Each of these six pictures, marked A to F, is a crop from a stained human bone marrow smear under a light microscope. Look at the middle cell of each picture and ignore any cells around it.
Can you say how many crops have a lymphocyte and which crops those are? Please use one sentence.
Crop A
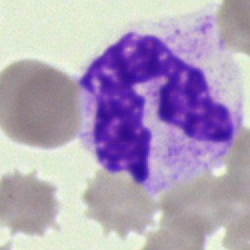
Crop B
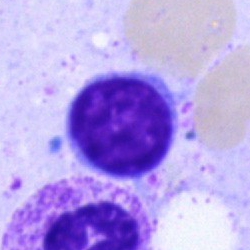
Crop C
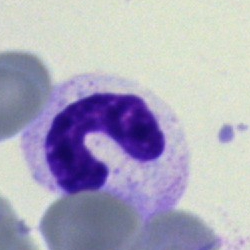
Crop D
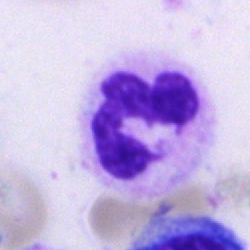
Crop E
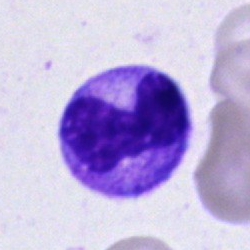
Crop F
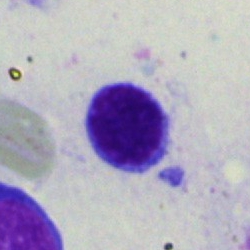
In two of the crops, namely B and F, the cell shown belongs to the lymphocytes.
